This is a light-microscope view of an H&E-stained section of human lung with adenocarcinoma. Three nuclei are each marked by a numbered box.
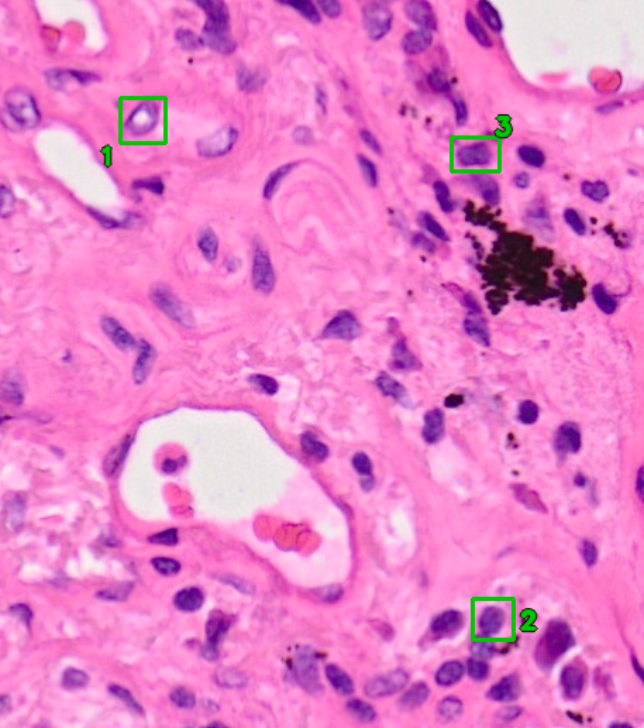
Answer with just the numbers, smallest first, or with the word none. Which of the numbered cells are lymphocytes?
2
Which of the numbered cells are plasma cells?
3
